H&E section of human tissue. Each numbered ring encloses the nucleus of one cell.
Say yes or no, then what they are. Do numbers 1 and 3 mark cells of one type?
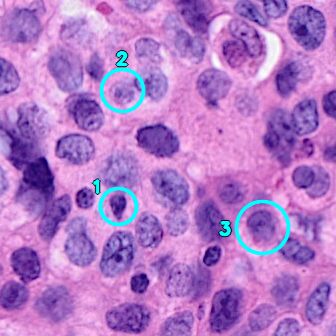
No, cell 1 is a lymphocyte and cell 3 is a carcinoma cell.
